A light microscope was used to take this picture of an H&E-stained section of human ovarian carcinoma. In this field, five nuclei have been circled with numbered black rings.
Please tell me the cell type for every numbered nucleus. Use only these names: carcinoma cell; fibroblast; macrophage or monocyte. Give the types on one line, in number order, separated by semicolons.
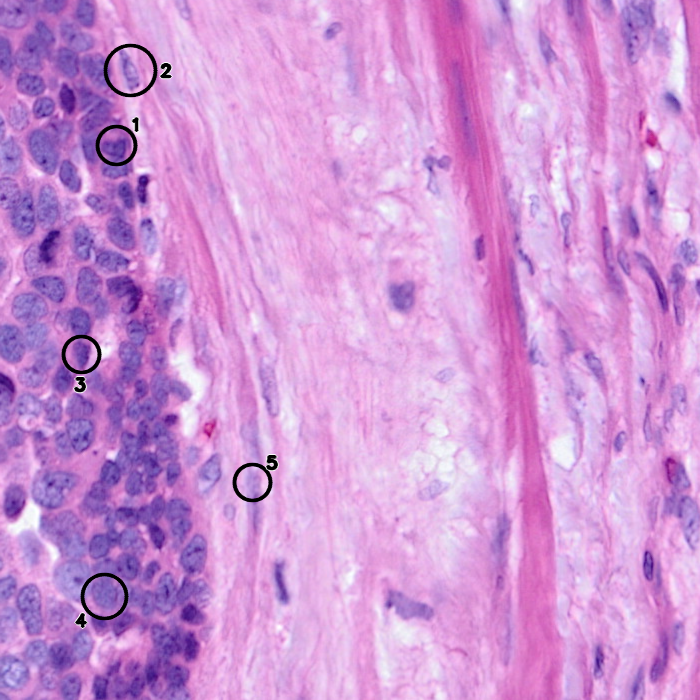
carcinoma cell; macrophage or monocyte; carcinoma cell; carcinoma cell; fibroblast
